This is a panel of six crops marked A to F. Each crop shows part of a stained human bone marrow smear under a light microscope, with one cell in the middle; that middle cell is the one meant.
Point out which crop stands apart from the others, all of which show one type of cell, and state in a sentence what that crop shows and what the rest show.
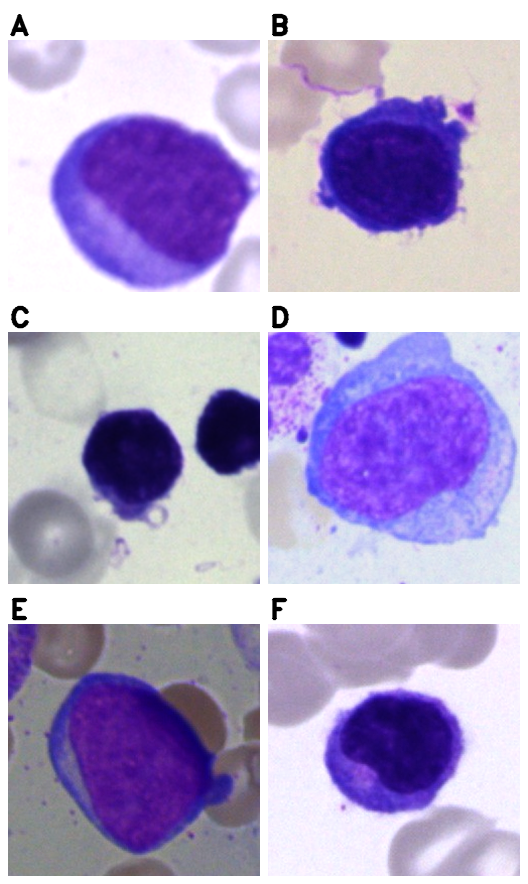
Crop F is the one that is a monocyte, and the other crops all show blasts.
